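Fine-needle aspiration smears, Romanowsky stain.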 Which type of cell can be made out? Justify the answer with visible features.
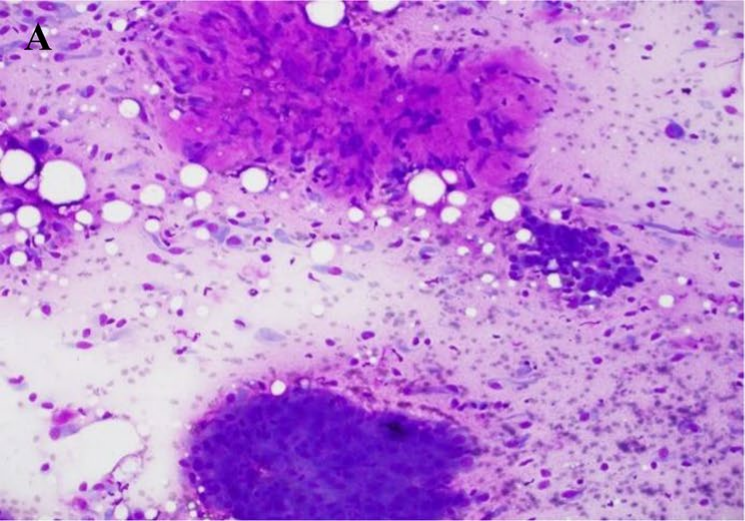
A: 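Groups of epithelial cells. Cohesive clusters of tightly packed cells stand out as dark purple aggregates. The cells within the clusters are crowded and overlapping, with dark nuclei.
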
